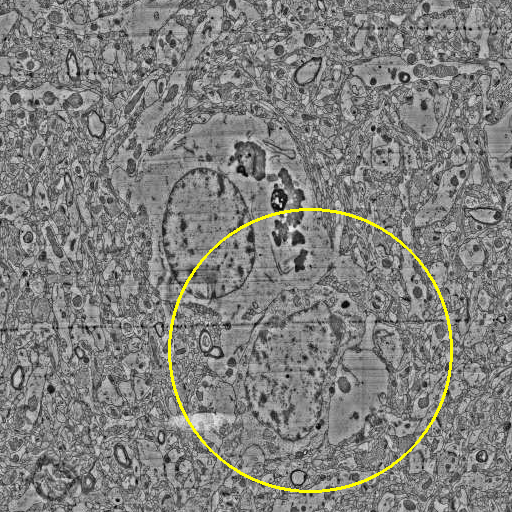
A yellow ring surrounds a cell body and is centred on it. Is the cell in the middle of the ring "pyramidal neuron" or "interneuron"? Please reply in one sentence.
The ring is centred on an interneuron.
